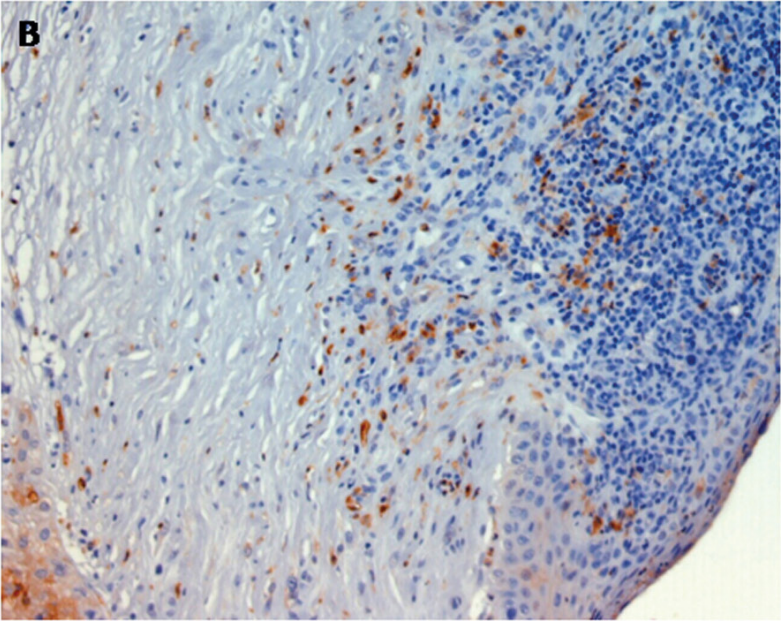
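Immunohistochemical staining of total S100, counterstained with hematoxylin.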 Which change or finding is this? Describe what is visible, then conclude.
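A dense sheet of small round dark-blue nuclei fills the right half of the tissue. The crowded small round cells lie in the stroma beneath the epithelium.
Answer: inflamed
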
